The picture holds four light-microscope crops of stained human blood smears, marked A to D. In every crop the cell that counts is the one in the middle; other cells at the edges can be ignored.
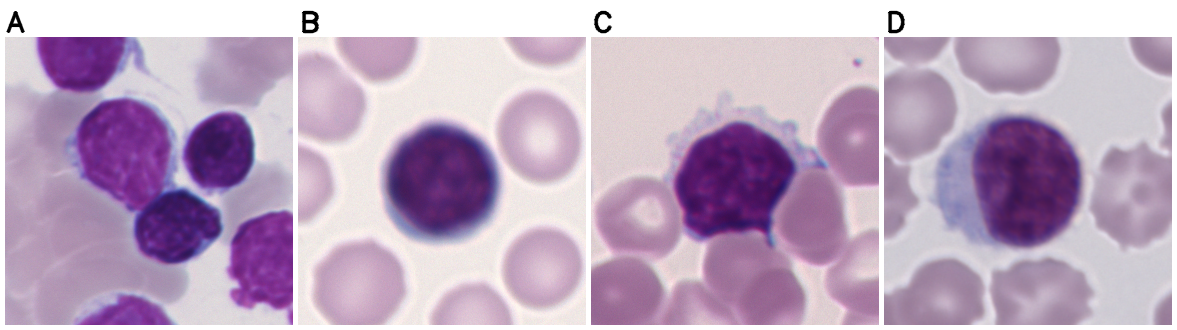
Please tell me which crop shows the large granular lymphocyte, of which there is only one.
C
